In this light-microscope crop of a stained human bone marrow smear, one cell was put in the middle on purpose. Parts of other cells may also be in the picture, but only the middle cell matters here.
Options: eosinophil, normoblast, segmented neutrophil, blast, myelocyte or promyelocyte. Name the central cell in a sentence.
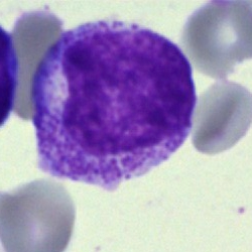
The cell shown in the center of this light-microscope crop is a myelocyte.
